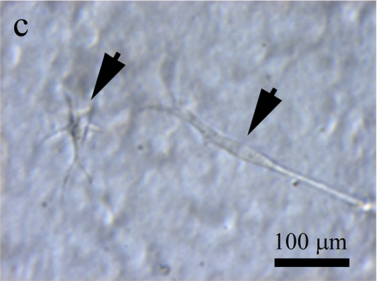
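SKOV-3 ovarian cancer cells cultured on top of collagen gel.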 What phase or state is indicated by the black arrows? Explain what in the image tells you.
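Mesenchylmal morphological appearance. Cells extend long thin branching processes. Cells lie isolated rather than in a sheet.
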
